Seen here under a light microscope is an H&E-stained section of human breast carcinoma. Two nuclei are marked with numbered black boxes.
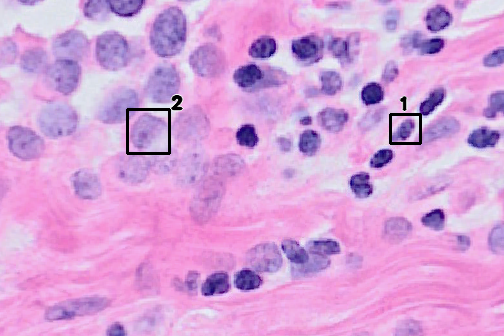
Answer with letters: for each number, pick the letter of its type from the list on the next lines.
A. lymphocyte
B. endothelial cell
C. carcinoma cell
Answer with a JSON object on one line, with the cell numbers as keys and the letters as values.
{"1": "A", "2": "C"}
